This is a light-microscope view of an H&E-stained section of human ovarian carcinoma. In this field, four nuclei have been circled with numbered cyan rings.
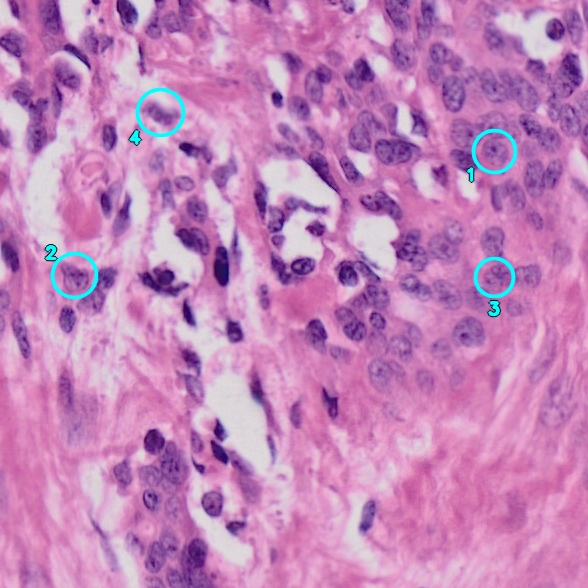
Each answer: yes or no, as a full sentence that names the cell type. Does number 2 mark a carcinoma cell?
No, the cell numbered 2 is a macrophage or monocyte rather than a carcinoma cell.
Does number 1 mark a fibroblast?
No, number 1 points to a carcinoma cell and not to a fibroblast.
